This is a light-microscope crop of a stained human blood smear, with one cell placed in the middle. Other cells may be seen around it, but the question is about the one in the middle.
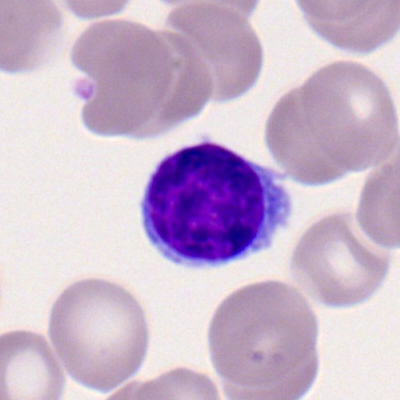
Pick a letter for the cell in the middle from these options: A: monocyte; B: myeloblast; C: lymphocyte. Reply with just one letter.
C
